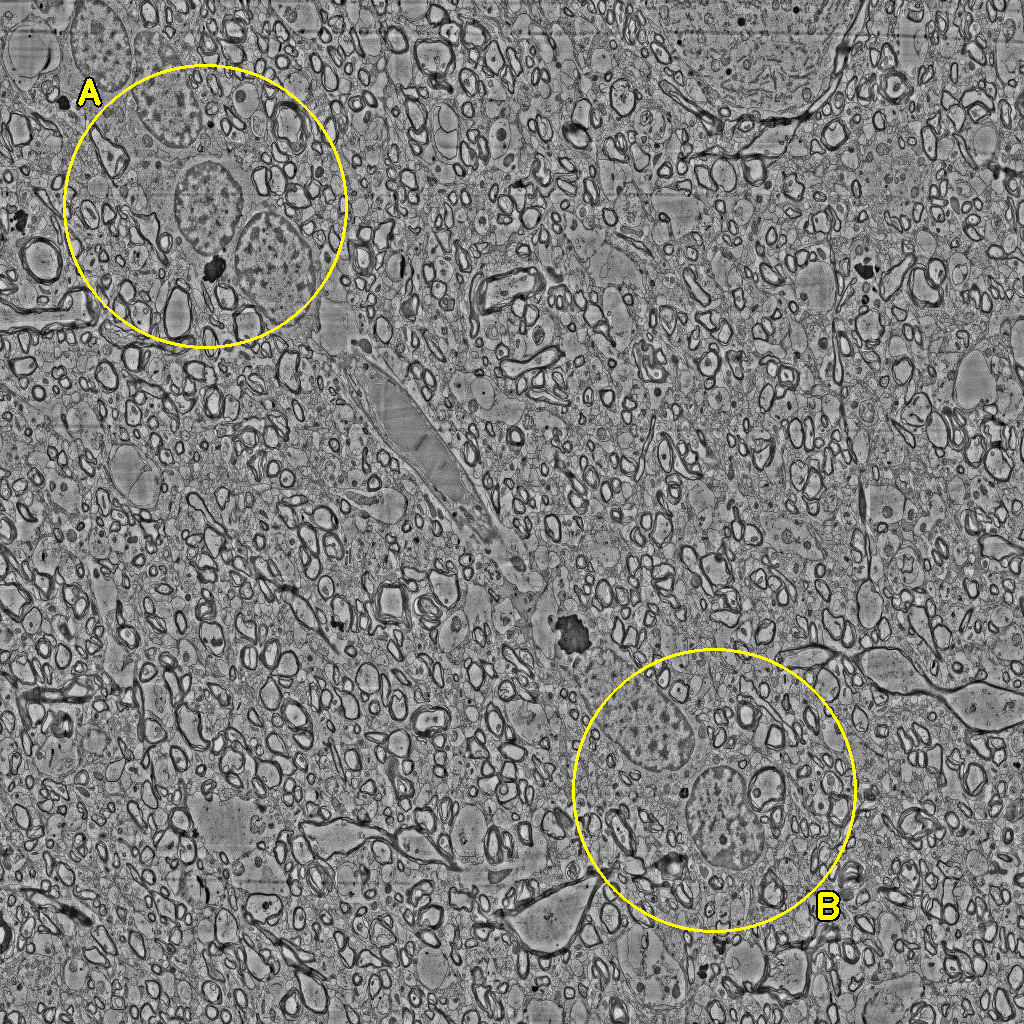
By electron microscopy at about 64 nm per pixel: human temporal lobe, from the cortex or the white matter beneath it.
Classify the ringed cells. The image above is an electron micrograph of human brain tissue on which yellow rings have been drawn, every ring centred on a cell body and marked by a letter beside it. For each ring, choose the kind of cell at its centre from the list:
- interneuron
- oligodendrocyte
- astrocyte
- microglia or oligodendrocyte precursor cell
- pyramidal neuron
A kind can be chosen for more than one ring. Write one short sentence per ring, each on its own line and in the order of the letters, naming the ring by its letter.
Ring A is placed around an oligodendrocyte.
Ring B is placed around an oligodendrocyte.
